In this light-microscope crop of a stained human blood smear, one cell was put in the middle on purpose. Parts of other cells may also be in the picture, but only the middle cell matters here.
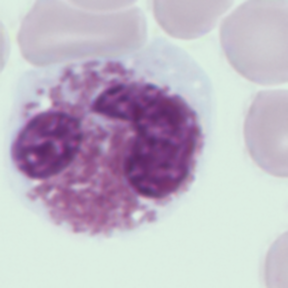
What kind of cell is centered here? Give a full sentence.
By classification, the middle cell of this crop is an eosinophil.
